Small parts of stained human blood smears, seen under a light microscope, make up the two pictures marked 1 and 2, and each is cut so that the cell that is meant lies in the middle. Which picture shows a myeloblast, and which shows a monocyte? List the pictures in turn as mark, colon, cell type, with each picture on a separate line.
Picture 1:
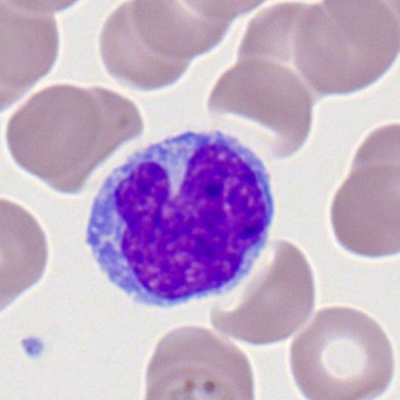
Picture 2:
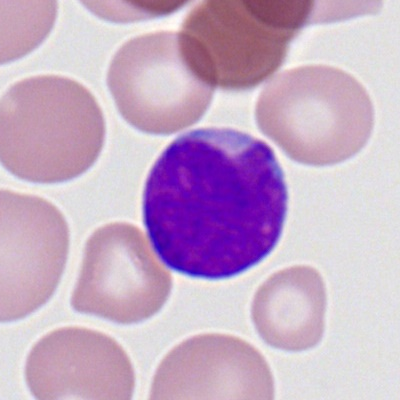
1: monocyte
2: myeloblast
